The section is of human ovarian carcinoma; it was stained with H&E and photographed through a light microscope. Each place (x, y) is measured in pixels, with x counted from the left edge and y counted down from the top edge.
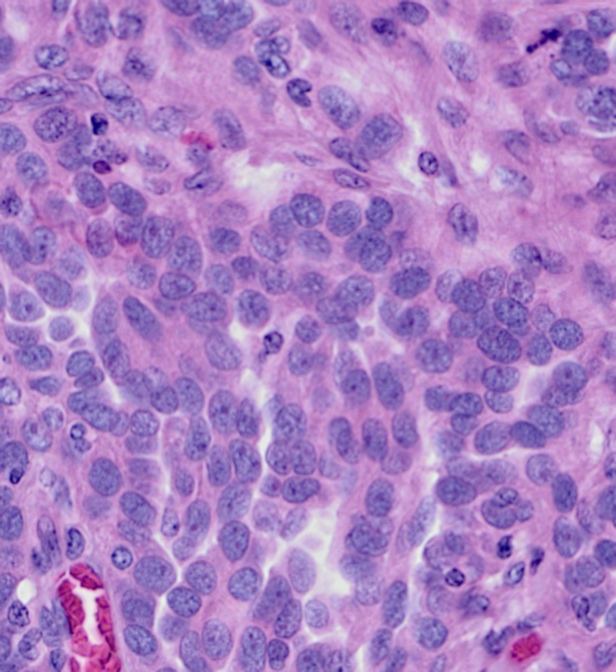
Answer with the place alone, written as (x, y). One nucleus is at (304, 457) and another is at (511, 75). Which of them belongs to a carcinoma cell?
(304, 457)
